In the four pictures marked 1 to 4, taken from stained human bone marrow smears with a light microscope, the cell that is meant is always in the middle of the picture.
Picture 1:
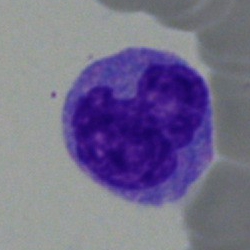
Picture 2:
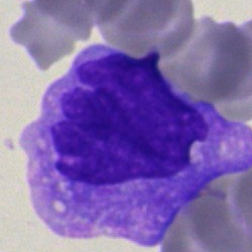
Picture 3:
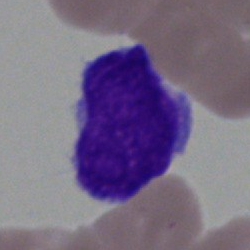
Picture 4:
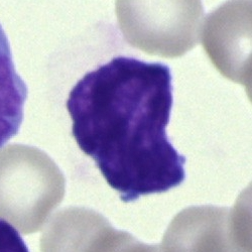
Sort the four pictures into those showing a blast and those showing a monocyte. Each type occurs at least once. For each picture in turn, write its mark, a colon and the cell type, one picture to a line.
1: monocyte
2: monocyte
3: blast
4: blast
